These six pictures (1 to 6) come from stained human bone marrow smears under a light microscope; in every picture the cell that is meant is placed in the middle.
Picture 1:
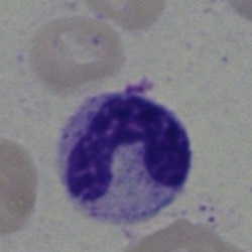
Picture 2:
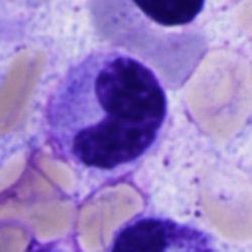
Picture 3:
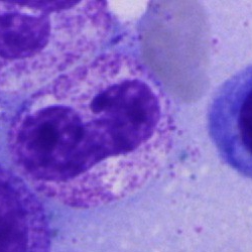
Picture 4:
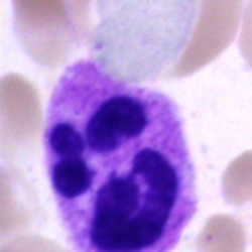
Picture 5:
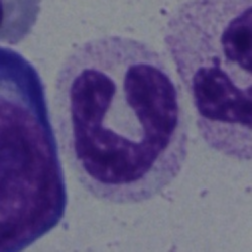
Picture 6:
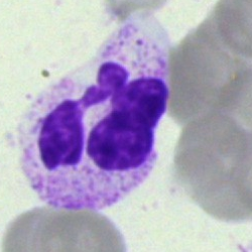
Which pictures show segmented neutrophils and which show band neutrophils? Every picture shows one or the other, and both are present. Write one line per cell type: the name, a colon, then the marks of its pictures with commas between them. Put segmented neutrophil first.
segmented neutrophil: 4, 6
band neutrophil: 1, 2, 3, 5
